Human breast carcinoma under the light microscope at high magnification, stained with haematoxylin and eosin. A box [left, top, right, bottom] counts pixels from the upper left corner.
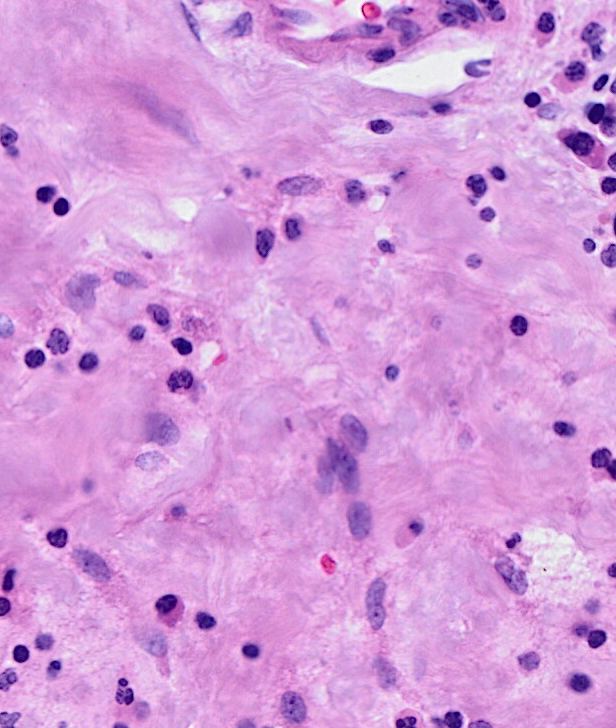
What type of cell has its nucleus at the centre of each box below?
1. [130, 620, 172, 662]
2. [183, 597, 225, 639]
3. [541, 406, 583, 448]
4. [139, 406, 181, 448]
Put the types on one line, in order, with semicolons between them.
fibroblast; lymphocyte; lymphocyte; fibroblast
